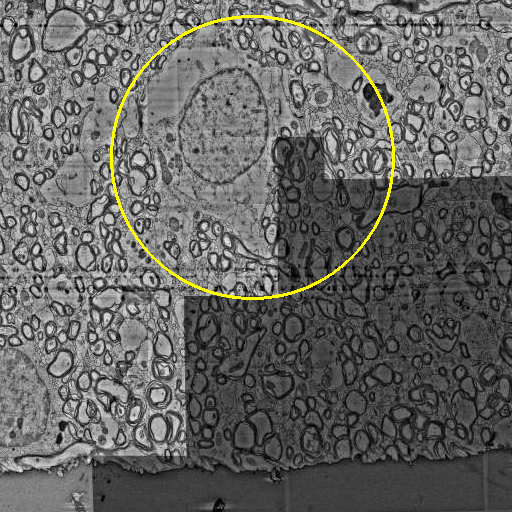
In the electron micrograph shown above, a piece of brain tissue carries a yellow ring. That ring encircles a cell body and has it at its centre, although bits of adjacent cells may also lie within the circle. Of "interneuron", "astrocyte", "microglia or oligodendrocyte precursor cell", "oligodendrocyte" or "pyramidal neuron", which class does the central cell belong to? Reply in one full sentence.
The cell body at the centre of the yellow ring belongs to an astrocyte.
